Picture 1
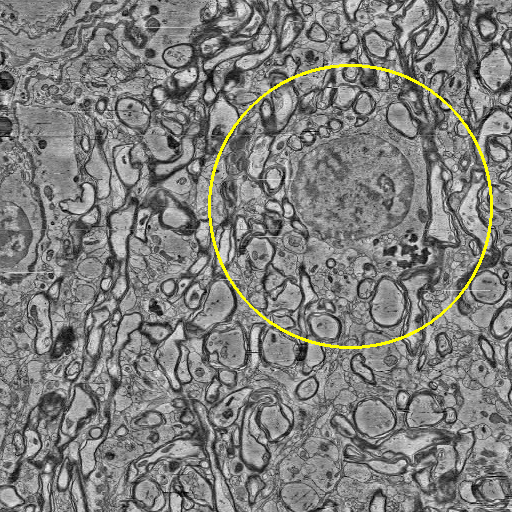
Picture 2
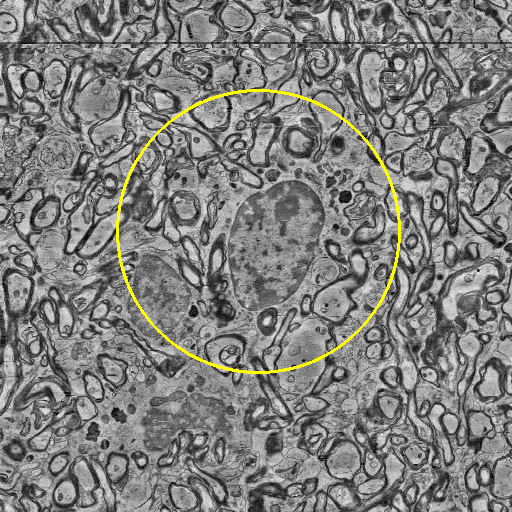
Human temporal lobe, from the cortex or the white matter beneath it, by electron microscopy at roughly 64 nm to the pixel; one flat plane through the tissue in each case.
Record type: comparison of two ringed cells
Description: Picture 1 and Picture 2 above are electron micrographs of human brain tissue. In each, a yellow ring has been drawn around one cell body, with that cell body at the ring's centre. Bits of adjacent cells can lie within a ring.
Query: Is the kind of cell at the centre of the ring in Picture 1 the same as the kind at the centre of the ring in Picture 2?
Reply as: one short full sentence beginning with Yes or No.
No, the two ringed cells are of two separate kinds.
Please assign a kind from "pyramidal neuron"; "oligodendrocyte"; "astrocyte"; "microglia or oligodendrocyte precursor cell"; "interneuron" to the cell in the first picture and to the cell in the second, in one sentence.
In the first picture we have an oligodendrocyte, and in the second, a microglial cell or oligodendrocyte precursor cell.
